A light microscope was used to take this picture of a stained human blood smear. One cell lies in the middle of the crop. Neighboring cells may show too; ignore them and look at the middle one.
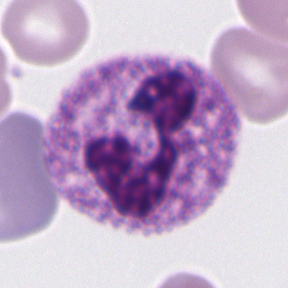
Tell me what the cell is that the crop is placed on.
segmented neutrophil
